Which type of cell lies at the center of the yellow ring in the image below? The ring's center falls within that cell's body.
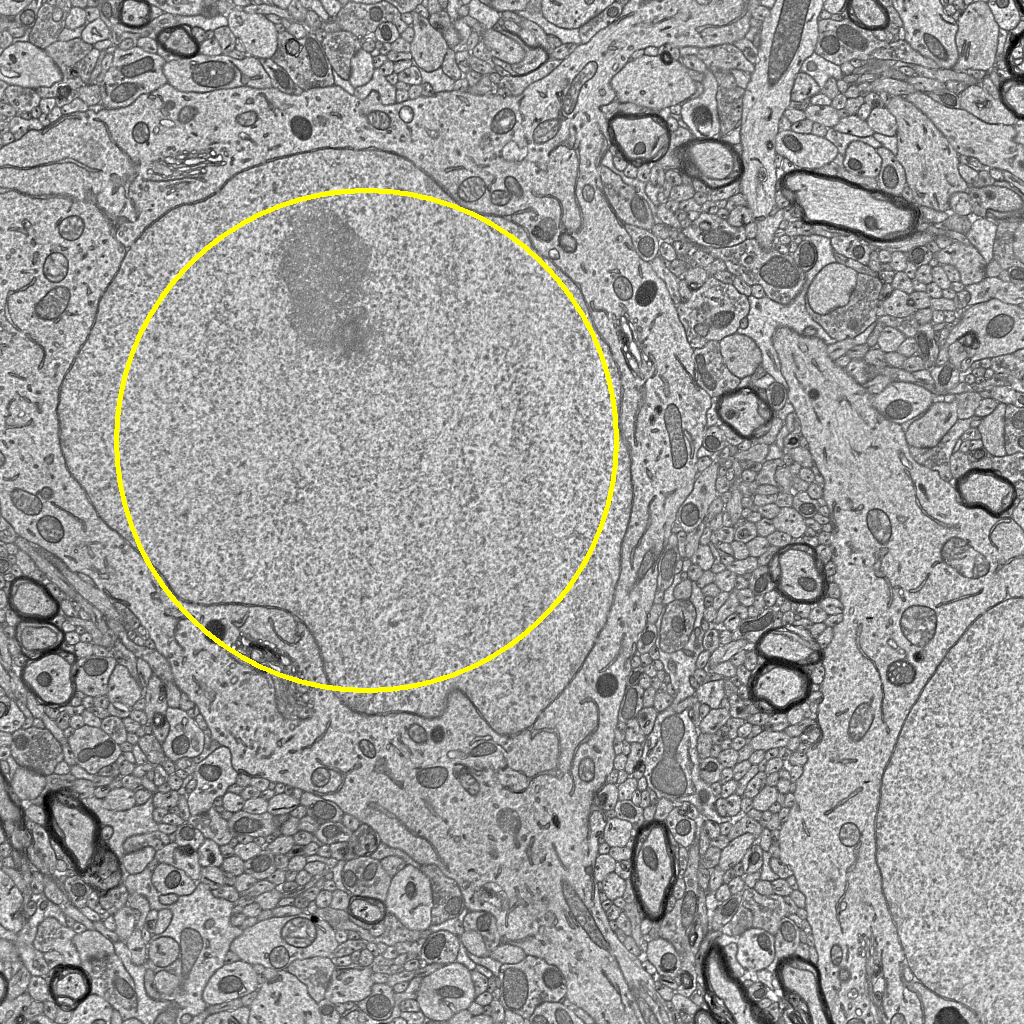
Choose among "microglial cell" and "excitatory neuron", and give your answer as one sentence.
The cell body at the center belongs to an excitatory neuron.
